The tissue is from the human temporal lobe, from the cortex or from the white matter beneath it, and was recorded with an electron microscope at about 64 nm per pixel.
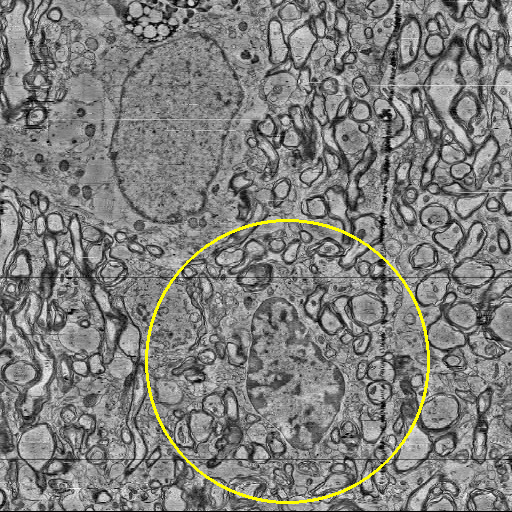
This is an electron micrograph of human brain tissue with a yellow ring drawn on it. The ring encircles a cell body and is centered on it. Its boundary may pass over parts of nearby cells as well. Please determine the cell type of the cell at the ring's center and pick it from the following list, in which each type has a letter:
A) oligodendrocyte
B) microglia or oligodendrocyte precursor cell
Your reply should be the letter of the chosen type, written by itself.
B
